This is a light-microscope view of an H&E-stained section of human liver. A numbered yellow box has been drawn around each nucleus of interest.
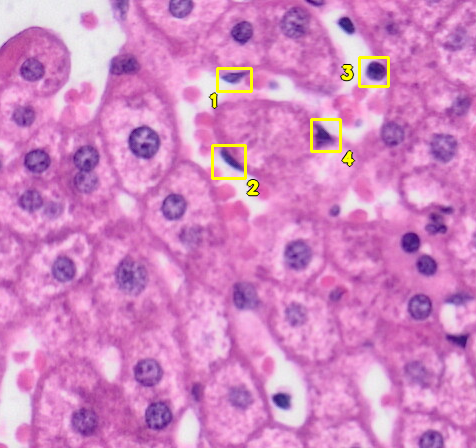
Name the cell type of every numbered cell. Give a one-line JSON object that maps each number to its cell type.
{"1": "endothelial cell", "2": "endothelial cell", "3": "lymphocyte", "4": "fibroblast or stellate cell"}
